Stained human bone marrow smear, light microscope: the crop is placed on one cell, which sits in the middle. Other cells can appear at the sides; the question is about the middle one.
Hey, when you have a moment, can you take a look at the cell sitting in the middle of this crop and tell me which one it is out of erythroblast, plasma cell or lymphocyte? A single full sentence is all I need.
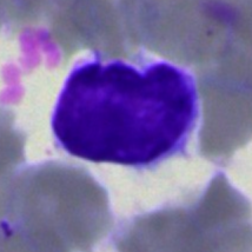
The cell occupying the middle of the crop is a lymphocyte.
